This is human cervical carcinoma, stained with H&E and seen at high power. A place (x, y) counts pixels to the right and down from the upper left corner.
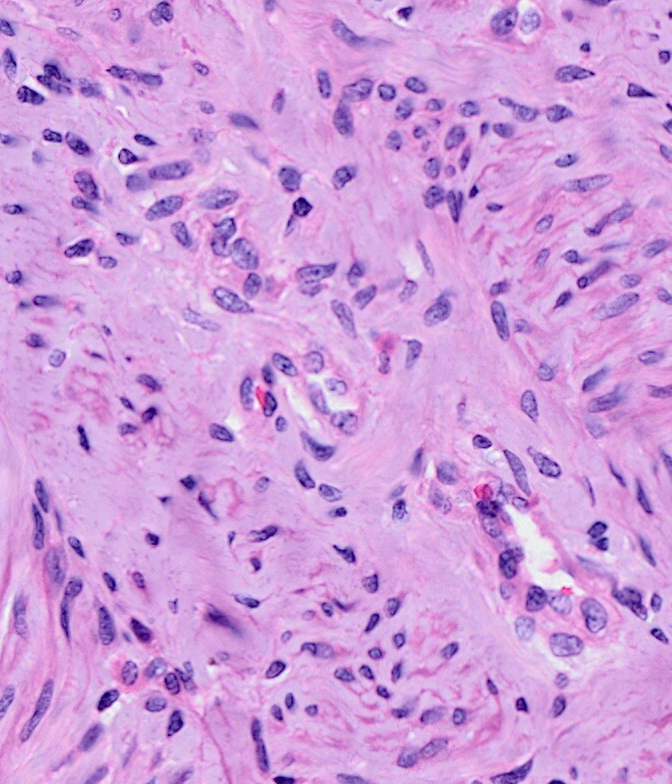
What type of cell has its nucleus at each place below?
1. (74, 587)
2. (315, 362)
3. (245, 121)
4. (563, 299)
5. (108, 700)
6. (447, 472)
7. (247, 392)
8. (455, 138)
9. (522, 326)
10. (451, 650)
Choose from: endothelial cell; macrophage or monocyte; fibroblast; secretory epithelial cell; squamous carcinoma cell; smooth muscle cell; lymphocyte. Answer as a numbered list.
1. fibroblast
2. endothelial cell
3. fibroblast
4. smooth muscle cell
5. lymphocyte
6. endothelial cell
7. endothelial cell
8. smooth muscle cell
9. smooth muscle cell
10. smooth muscle cell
